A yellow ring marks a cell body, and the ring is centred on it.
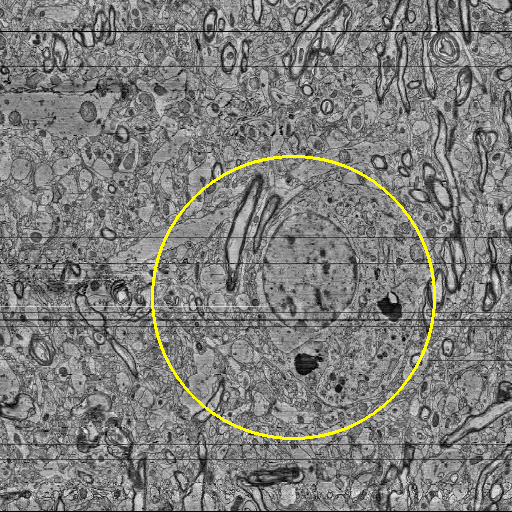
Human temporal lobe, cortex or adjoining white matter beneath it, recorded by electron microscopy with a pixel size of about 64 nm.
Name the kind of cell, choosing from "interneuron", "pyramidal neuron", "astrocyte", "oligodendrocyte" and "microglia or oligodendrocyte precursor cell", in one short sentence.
The marked cell body belongs to a microglial cell or oligodendrocyte precursor cell.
